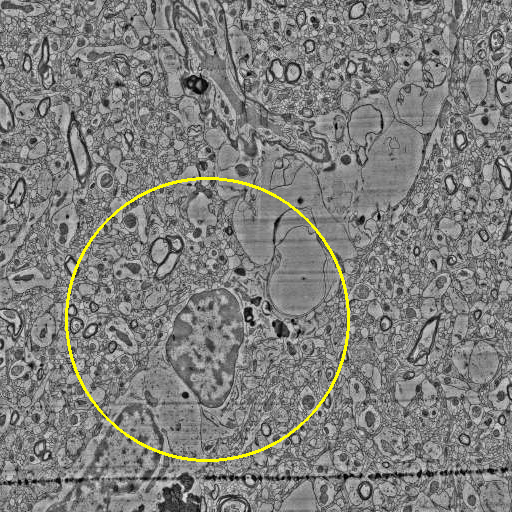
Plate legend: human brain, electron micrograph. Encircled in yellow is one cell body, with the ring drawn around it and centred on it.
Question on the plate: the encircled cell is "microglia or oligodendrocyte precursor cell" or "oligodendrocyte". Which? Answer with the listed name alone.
microglia or oligodendrocyte precursor cell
